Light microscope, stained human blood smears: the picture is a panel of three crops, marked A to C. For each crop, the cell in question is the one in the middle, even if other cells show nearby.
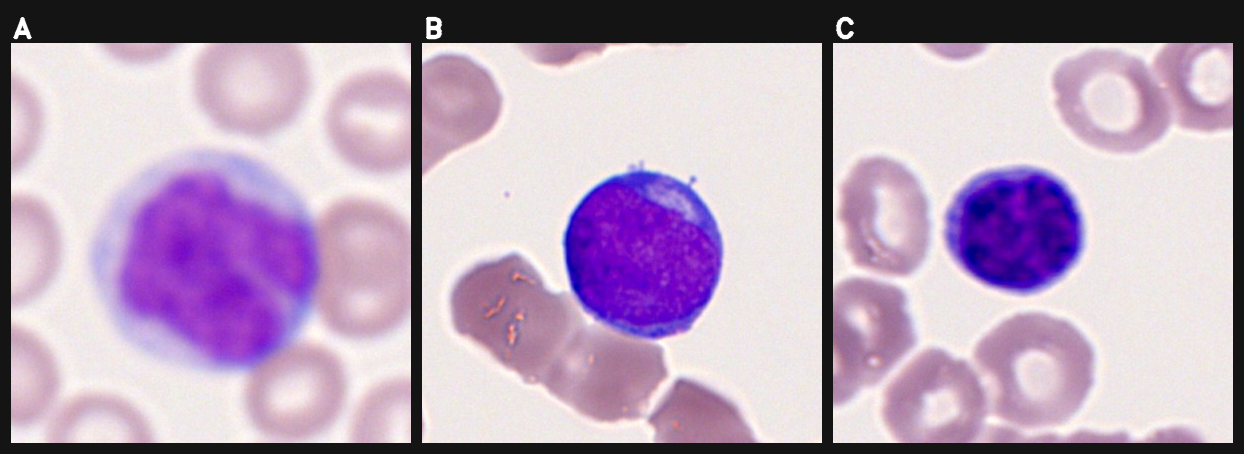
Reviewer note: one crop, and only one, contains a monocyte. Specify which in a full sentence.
Of the crops shown, crop A depicts a monocyte.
